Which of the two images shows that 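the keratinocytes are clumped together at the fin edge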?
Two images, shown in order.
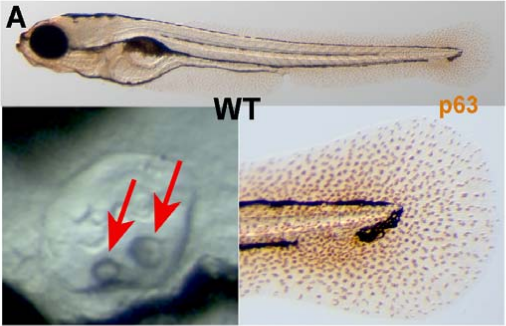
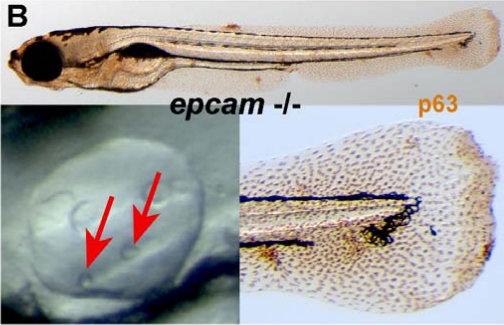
the second image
